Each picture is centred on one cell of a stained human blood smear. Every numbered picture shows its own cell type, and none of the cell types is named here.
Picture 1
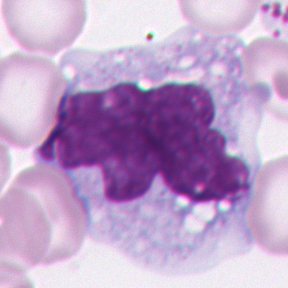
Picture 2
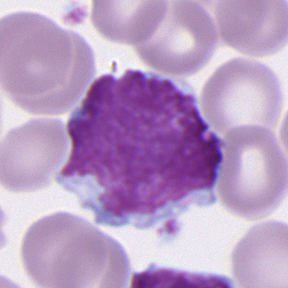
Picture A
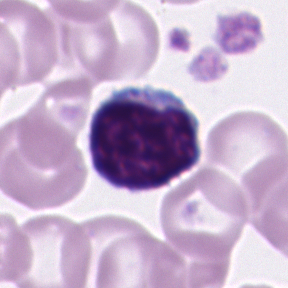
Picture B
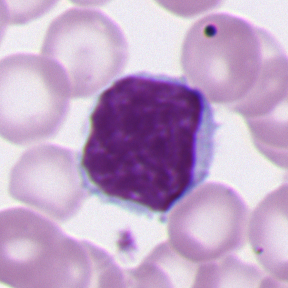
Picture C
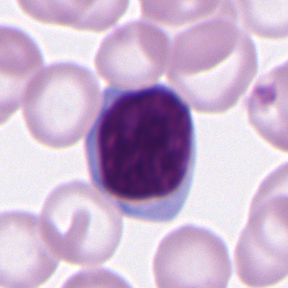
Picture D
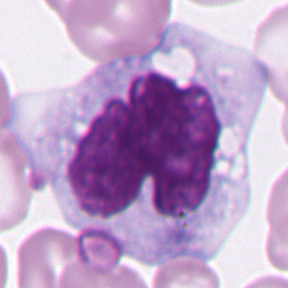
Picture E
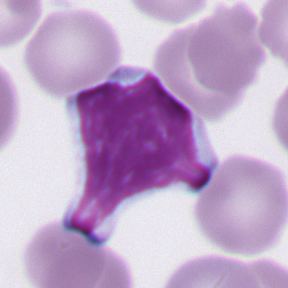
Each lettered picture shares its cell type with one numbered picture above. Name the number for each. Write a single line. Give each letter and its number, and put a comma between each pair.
A 2, B 2, C 2, D 1, E 2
